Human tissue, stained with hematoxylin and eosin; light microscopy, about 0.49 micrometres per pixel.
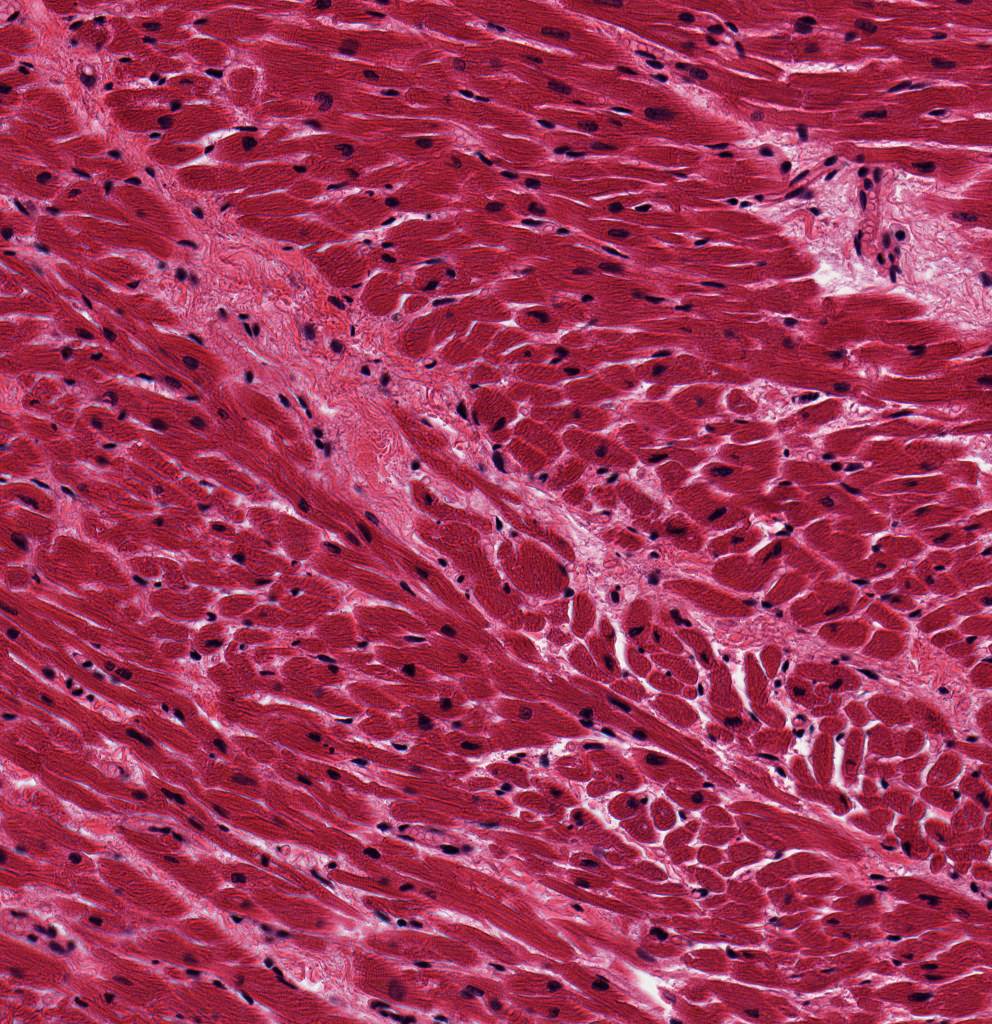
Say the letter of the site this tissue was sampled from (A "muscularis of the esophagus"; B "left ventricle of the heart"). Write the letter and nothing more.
B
